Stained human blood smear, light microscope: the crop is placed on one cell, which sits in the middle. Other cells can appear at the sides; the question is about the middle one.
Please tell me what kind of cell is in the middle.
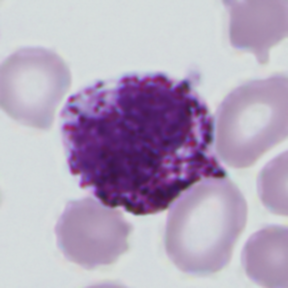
basophil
